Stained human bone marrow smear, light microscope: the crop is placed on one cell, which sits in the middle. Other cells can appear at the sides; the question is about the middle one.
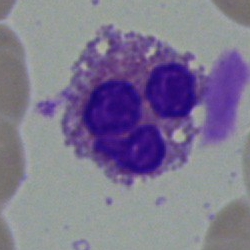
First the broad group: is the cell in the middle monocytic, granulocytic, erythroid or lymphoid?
granulocytic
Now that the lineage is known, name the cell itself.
eosinophil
